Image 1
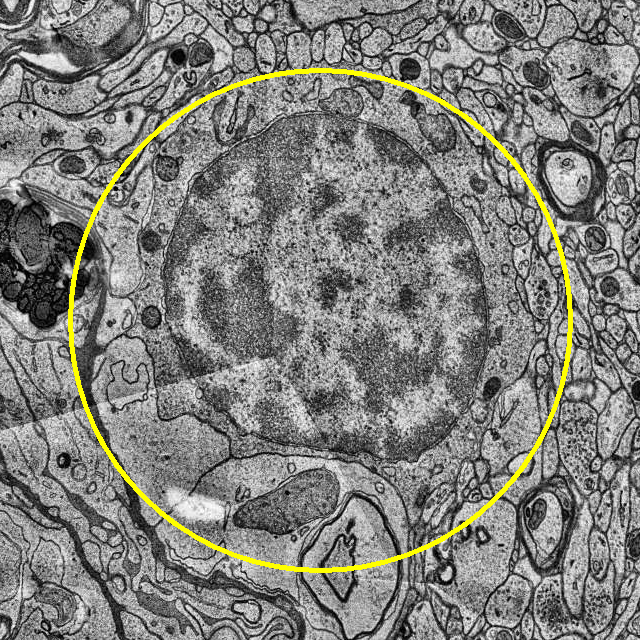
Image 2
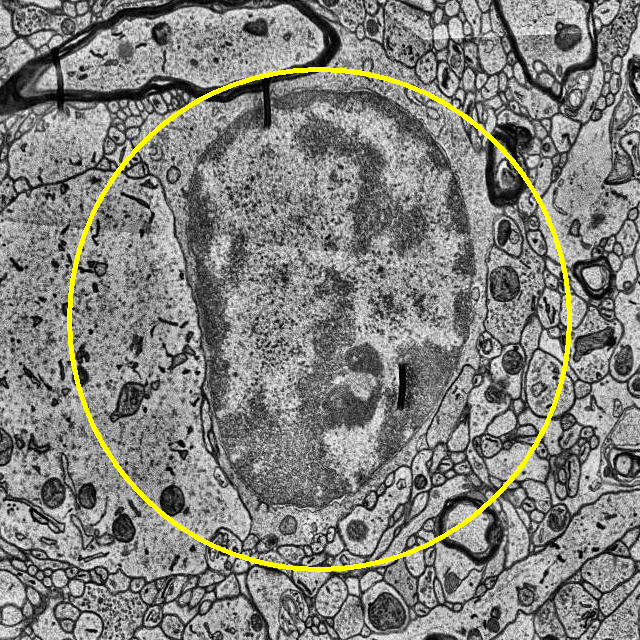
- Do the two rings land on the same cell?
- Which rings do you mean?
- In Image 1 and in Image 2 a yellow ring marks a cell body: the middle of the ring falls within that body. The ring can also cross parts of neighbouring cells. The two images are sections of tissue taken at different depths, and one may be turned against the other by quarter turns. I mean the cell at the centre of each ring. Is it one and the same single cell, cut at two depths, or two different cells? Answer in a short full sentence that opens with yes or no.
No, the two marked cells are different cells.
